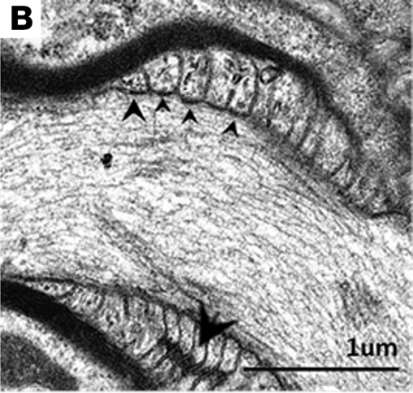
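This electron micrograph shows the paranodal region of a myelinated axon cut lengthwise. The axon fills the middle of the field with fine, longitudinally aligned filamentous texture. Above and below it, dark compact myelin ends in a row of regularly spaced cytoplasmic loops that abut the axonal surface side by side. Arrowheads mark these junctions. The arrangement is orderly and symmetrical, as in a normal paranode.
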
